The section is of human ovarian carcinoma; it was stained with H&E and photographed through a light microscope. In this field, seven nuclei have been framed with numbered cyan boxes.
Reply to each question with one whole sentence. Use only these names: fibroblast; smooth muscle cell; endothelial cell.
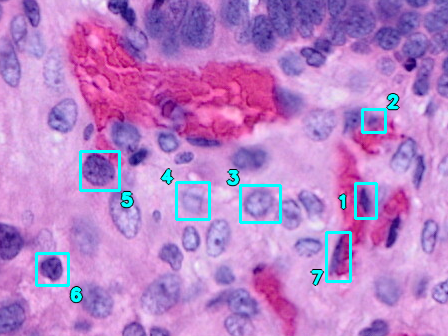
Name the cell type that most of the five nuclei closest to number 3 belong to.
Fibroblasts account for more than half of the five nuclei nearest to number 3.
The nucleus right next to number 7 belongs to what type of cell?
Closest to number 7 lies the nucleus of a fibroblast.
